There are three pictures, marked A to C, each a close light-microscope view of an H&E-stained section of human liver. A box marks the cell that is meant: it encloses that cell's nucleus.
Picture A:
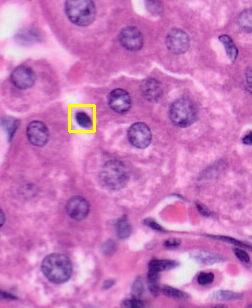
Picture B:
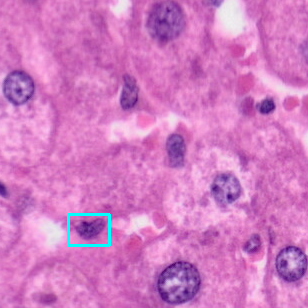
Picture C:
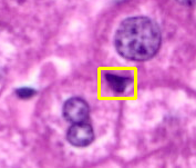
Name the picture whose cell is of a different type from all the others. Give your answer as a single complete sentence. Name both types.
The others show “fibroblasts or stellate cells”, but picture A shows a lymphocyte.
